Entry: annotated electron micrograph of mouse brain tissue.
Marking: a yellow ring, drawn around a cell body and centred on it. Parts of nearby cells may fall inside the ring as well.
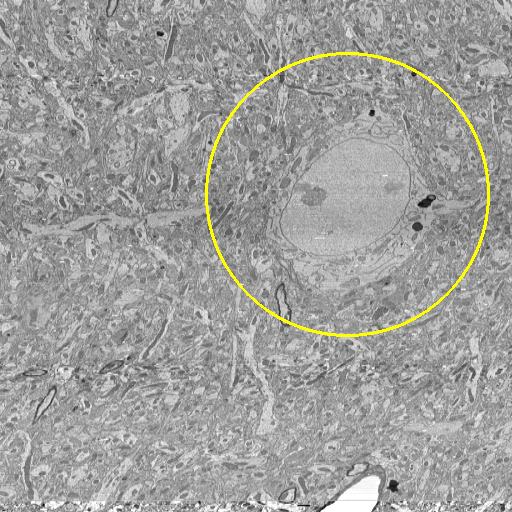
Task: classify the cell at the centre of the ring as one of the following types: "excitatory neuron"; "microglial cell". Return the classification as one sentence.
The marked cell is classified as an excitatory neuron.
